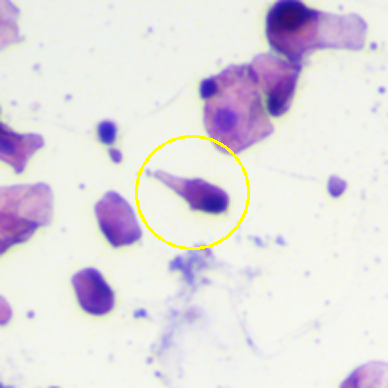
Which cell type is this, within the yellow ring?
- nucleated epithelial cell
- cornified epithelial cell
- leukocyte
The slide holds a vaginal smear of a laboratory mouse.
Within the ring is a nucleated epithelial cell.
